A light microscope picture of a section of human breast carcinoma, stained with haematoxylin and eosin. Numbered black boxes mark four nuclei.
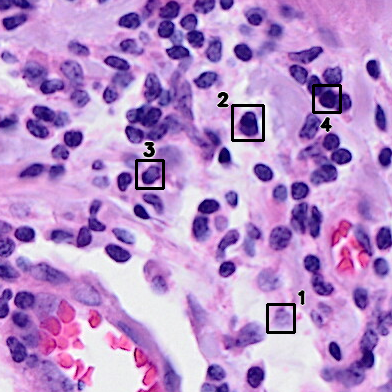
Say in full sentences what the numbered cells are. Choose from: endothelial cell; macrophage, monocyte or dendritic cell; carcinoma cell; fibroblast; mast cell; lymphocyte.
Cell 1 is a macrophage, monocyte or dendritic cell. Cells 2, 3 and 4 are lymphocytes.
